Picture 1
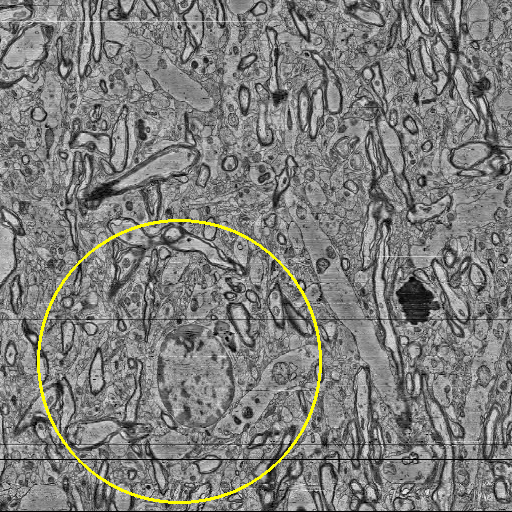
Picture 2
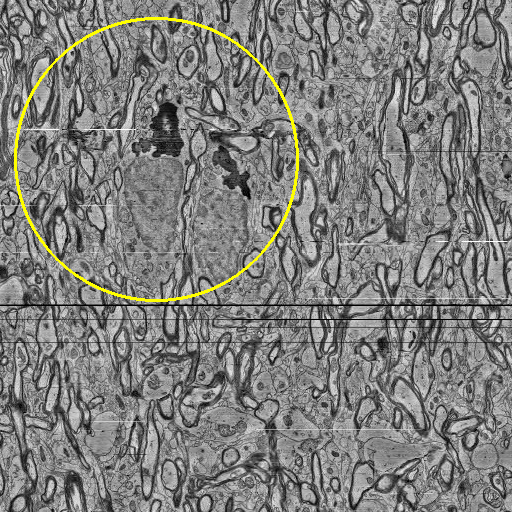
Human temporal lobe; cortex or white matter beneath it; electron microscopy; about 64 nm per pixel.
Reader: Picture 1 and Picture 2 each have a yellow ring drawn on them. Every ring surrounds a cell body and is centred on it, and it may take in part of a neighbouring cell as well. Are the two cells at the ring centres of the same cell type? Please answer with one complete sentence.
No, the cells are of two cell types.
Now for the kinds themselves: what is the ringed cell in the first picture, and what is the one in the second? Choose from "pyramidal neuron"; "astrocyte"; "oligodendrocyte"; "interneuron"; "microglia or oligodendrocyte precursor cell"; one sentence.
Here the first cell is a microglial cell or oligodendrocyte precursor cell and the second cell is an oligodendrocyte.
